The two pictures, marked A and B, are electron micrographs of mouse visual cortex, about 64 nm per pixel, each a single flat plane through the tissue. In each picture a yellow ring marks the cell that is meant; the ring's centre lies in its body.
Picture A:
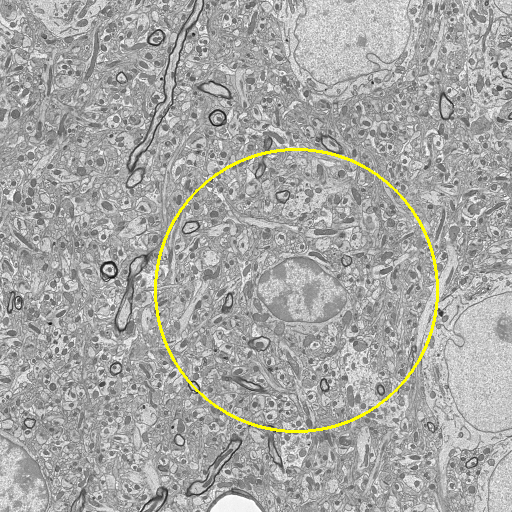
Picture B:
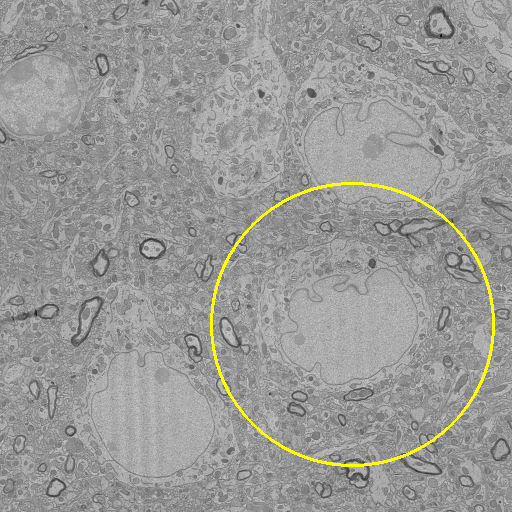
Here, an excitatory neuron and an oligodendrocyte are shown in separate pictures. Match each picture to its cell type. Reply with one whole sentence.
Picture B shows an excitatory neuron, while picture A shows an oligodendrocyte.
